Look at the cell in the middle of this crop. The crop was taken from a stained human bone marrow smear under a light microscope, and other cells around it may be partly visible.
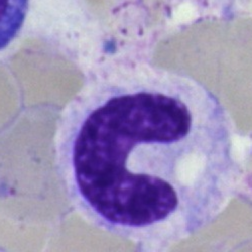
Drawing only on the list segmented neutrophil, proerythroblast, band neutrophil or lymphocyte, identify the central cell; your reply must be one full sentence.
At the center of the crop sits a band neutrophil.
